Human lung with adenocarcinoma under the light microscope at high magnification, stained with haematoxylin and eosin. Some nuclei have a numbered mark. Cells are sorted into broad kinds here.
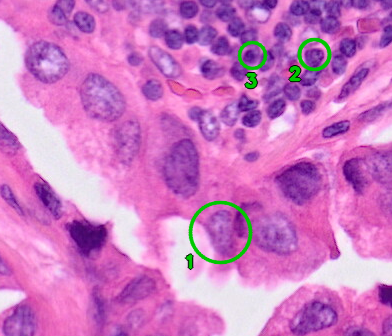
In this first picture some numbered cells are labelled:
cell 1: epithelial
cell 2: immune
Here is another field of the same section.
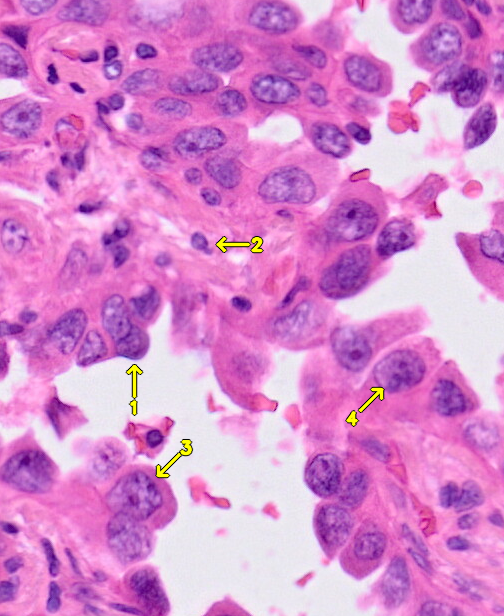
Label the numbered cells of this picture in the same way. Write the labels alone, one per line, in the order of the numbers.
epithelial
immune
epithelial
epithelial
